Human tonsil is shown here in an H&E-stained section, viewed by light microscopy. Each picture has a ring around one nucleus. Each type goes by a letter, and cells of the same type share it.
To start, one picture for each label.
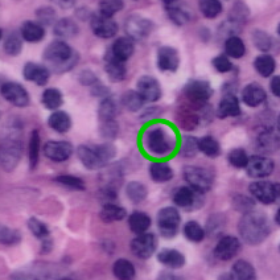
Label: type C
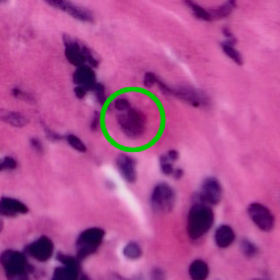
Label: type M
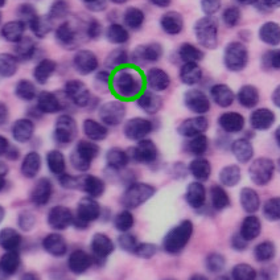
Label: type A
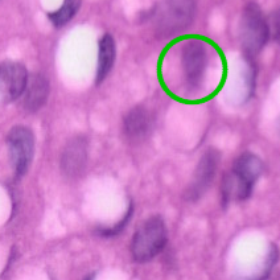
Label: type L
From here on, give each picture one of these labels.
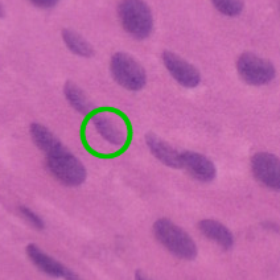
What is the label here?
type L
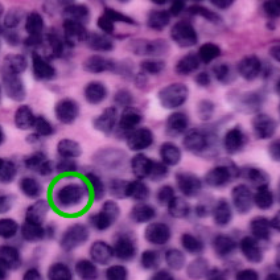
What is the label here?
type A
